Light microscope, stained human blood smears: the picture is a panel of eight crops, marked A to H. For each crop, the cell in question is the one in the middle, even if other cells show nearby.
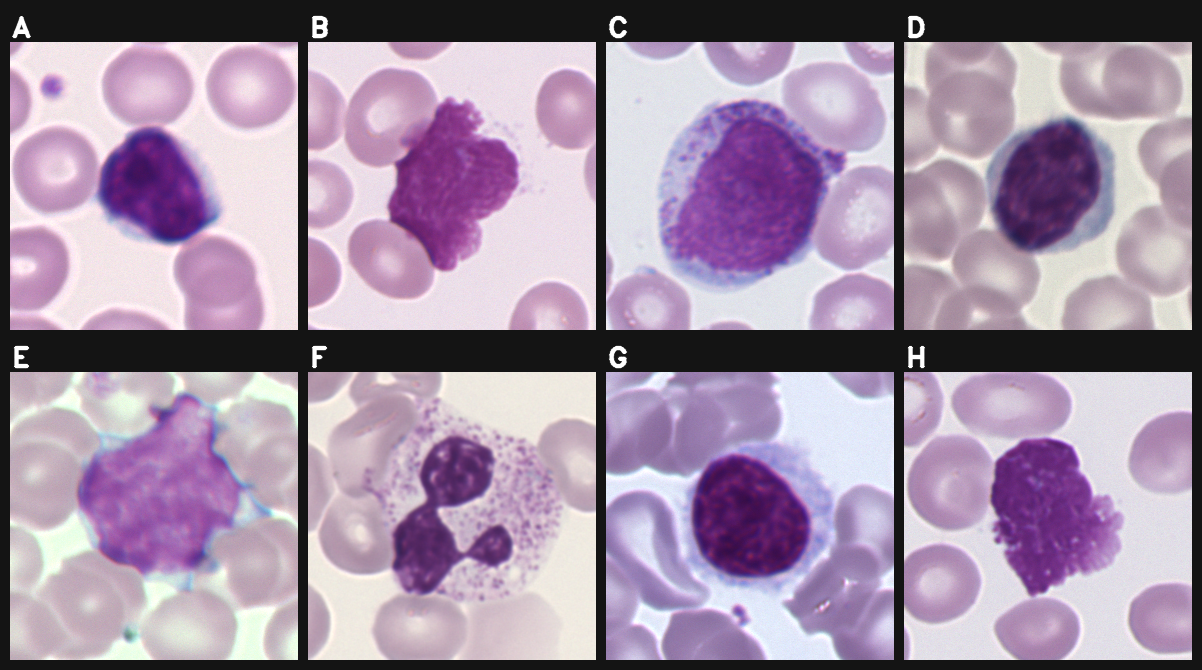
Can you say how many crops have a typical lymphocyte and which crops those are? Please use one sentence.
Classed as typical lymphocytes are the central cells of three crops, A, D and E.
